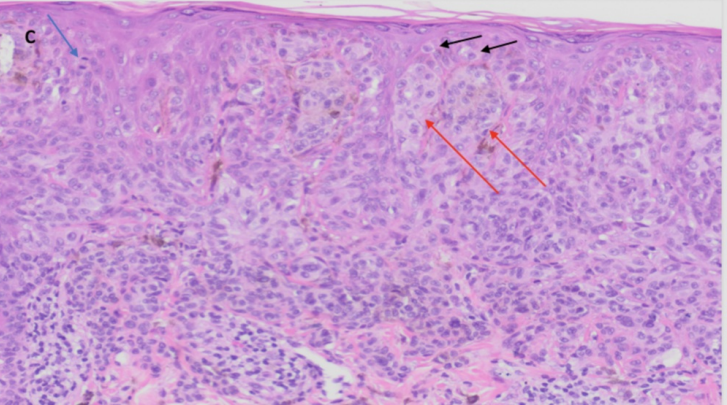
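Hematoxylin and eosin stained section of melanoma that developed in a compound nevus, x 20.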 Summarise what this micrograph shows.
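This is skin in which atypical melanocytes spread through the epidermis and the underlying dermis. In the upper epidermis, single pale cells with large nuclei sit well above the base, and rounded nests of pale cells, some holding brown pigment, stand out sharply against the pink keratinocytes. Below, the dermis is crowded with sheets and nests of cells with dark purple nuclei, separated by thin pink strands of collagen.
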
